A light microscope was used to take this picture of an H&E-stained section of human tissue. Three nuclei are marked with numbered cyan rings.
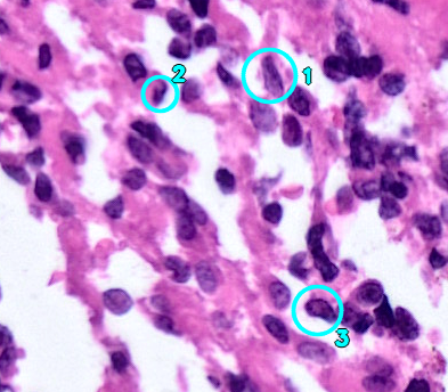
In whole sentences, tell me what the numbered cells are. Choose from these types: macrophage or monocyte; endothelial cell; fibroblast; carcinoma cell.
Cell 1 is a macrophage or monocyte. Cells 2 and 3 are carcinoma cells.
